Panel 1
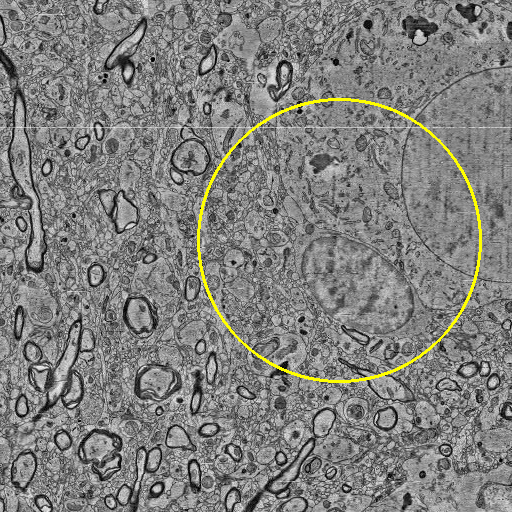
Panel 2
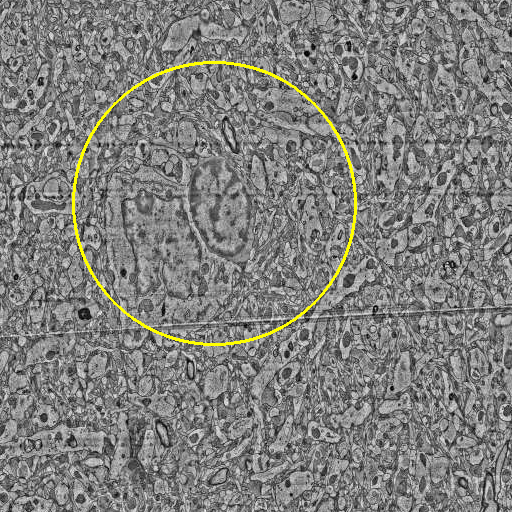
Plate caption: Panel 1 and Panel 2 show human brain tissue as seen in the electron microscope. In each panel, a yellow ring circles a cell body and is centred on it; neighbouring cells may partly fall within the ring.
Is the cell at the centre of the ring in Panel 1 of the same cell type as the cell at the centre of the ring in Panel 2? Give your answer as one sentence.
Yes, the two cells are of the same type.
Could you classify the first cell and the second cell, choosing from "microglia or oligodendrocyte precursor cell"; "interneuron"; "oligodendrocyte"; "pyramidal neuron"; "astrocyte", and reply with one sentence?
The ring centre holds an oligodendrocyte in each of the two pictures.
